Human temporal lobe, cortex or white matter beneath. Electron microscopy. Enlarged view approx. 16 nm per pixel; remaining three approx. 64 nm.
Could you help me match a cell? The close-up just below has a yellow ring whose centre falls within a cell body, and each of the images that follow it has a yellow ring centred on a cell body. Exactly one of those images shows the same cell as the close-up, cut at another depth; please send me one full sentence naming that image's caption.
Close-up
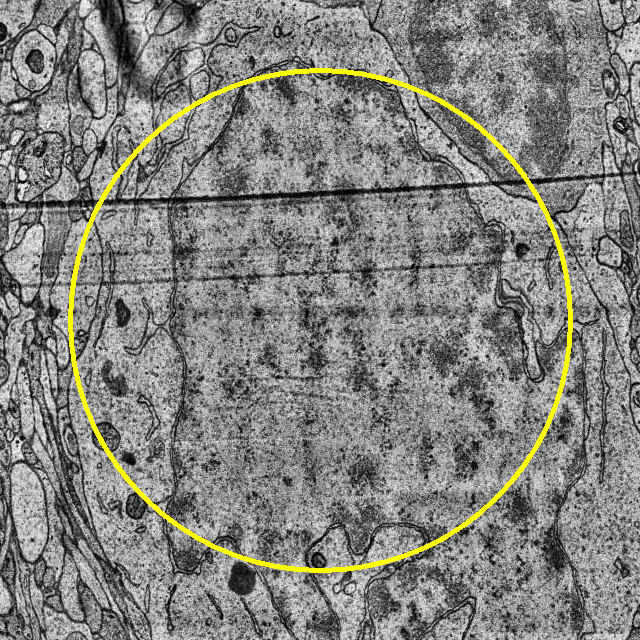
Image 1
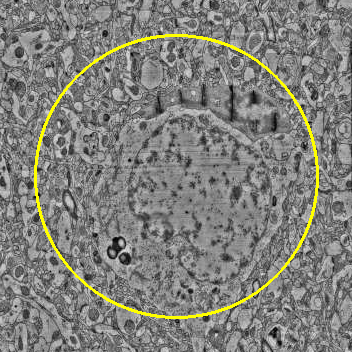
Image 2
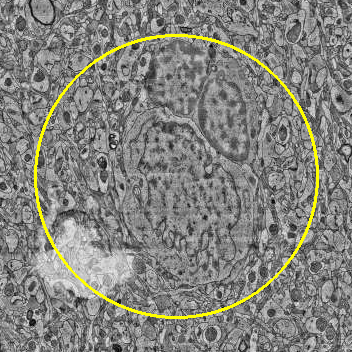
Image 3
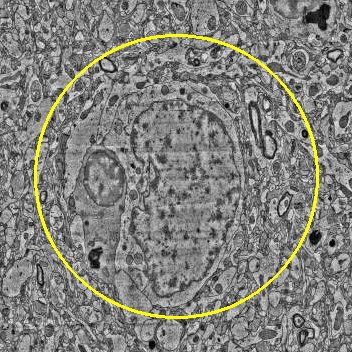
The cell in the close-up is identified by the ring in Image 2.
